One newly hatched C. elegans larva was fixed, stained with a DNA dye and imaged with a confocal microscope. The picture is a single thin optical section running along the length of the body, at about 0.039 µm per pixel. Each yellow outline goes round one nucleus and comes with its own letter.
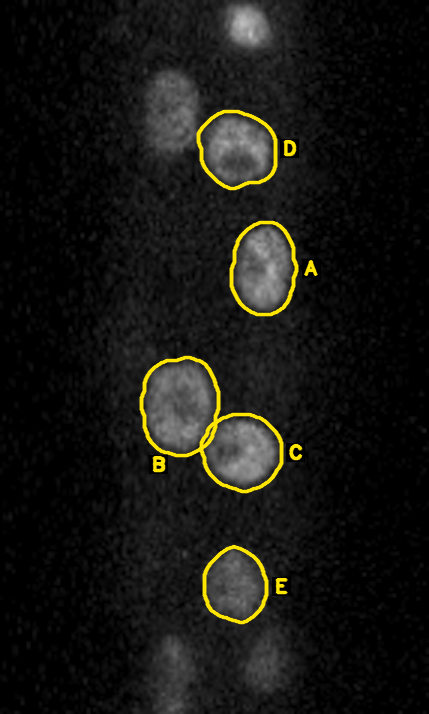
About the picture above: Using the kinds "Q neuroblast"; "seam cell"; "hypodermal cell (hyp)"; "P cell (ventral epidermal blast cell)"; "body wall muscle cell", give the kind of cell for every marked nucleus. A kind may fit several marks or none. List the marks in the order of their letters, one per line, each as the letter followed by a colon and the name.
A: P cell (ventral epidermal blast cell)
B: hypodermal cell (hyp)
C: Q neuroblast
D: seam cell
E: seam cell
